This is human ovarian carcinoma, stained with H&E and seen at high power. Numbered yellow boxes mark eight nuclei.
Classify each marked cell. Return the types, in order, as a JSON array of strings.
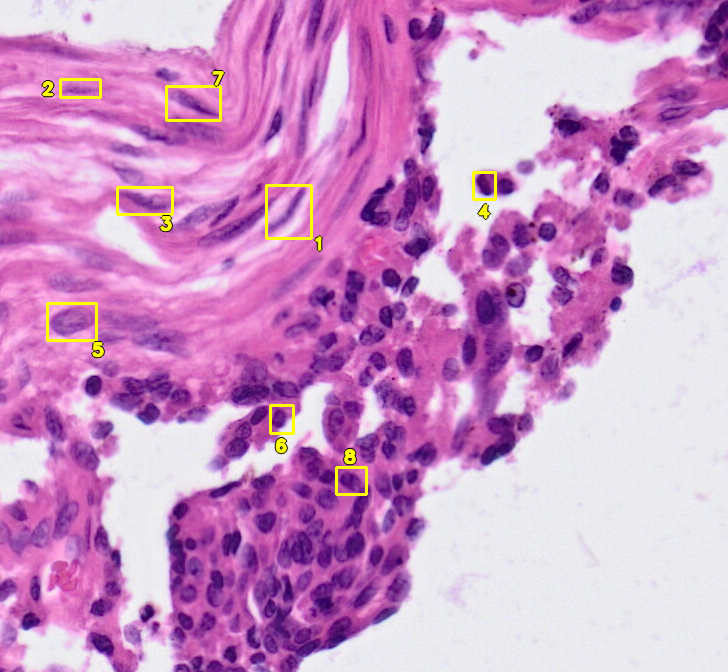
["fibroblast", "fibroblast", "fibroblast", "carcinoma cell", "fibroblast", "carcinoma cell", "fibroblast", "carcinoma cell"]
